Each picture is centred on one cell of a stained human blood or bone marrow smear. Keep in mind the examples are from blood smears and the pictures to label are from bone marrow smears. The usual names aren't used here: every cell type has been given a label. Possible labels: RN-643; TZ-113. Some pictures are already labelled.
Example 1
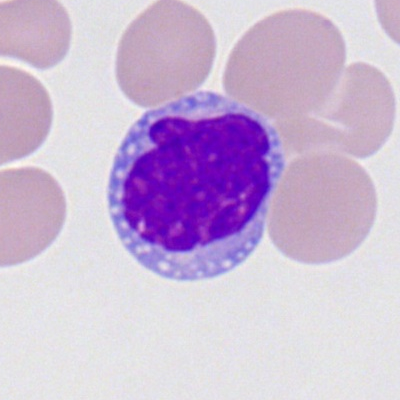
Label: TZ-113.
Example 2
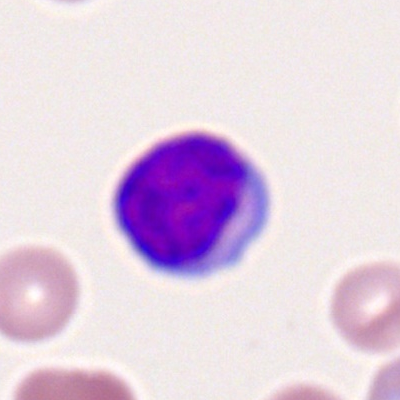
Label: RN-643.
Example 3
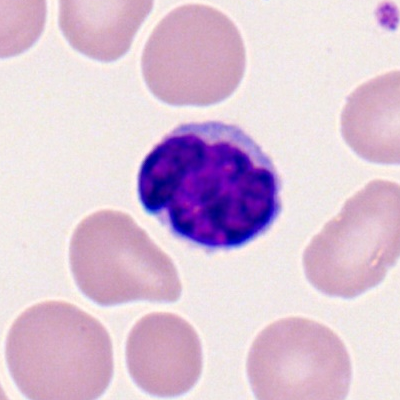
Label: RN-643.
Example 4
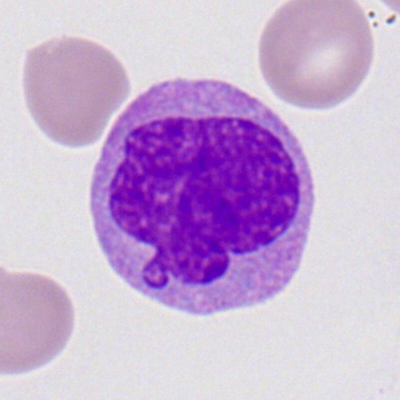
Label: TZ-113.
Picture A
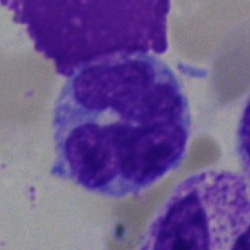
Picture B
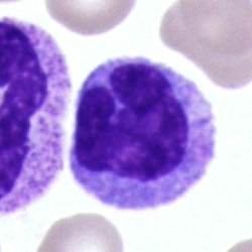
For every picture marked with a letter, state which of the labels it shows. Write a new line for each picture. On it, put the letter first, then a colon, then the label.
A: TZ-113.
B: TZ-113.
